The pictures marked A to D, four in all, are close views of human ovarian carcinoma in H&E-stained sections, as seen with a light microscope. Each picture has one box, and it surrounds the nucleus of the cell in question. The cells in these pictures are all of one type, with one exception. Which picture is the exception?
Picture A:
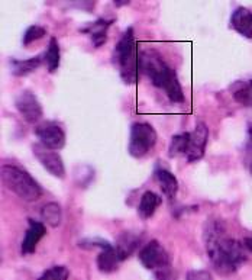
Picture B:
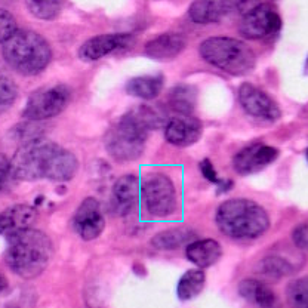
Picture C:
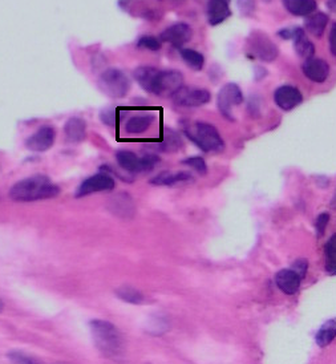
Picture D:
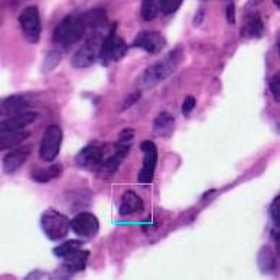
D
